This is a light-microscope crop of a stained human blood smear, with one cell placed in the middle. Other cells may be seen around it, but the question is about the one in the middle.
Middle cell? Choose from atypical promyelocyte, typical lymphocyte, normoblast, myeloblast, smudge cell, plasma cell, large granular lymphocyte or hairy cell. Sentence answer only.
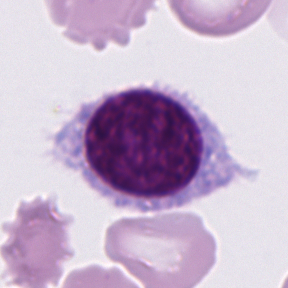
Classification of the middle cell gives a hairy cell.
